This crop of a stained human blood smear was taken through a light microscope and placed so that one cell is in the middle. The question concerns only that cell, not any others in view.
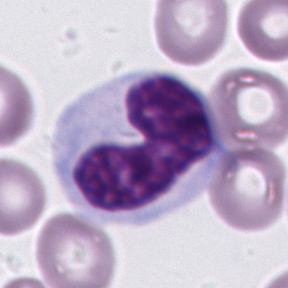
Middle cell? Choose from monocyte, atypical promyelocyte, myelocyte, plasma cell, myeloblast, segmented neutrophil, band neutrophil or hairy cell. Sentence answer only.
For this crop, the cell in the middle is a band neutrophil.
